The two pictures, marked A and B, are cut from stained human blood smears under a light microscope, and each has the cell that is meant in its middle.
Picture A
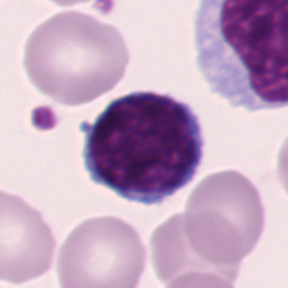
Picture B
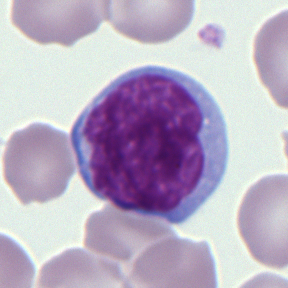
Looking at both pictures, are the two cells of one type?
yes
